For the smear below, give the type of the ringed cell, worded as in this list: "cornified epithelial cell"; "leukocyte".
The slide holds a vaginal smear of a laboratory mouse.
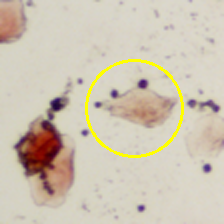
cornified epithelial cell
